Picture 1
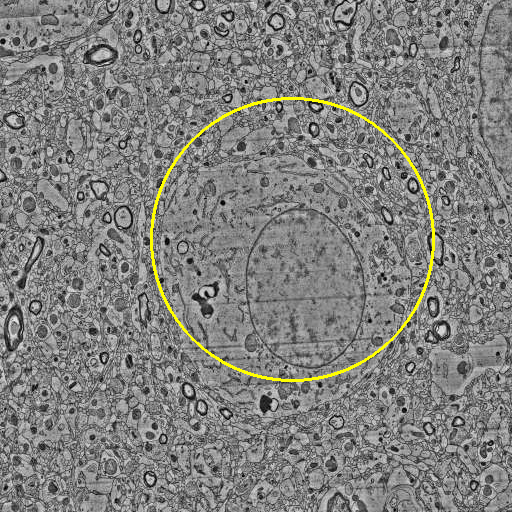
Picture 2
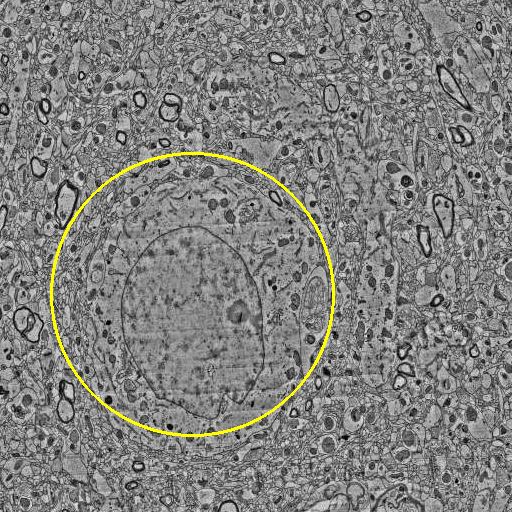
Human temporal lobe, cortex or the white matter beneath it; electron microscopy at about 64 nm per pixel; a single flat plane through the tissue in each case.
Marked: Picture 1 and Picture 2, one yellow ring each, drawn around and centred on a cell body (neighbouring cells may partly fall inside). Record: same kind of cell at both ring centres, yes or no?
yes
